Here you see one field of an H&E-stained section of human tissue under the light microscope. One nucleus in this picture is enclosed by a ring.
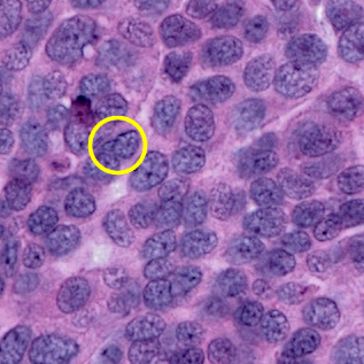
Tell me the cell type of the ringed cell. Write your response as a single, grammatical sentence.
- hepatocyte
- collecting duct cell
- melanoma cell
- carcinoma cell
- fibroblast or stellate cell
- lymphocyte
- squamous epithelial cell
The expected answer is simply that the ringed cell is a carcinoma cell.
